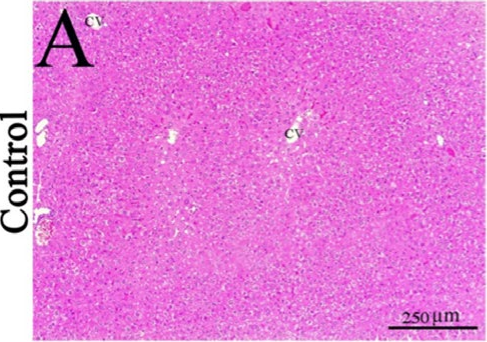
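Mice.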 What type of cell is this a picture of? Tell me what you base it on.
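Sheets of polygonal cells with pink cytoplasm and dark round nuclei. Small vein lumens lie scattered among the cell sheets. So: hepatocytes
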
